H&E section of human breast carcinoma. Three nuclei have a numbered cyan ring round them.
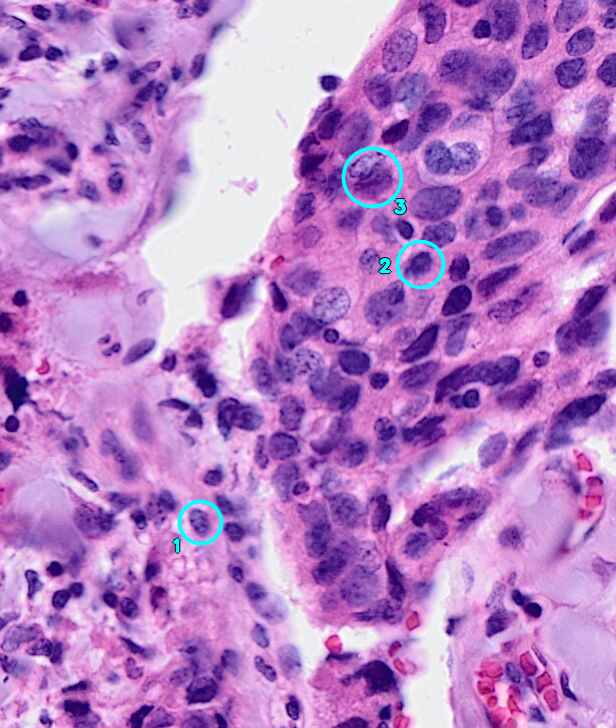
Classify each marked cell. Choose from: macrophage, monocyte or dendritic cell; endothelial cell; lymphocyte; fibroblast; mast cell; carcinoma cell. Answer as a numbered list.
1. mast cell
2. carcinoma cell
3. carcinoma cell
